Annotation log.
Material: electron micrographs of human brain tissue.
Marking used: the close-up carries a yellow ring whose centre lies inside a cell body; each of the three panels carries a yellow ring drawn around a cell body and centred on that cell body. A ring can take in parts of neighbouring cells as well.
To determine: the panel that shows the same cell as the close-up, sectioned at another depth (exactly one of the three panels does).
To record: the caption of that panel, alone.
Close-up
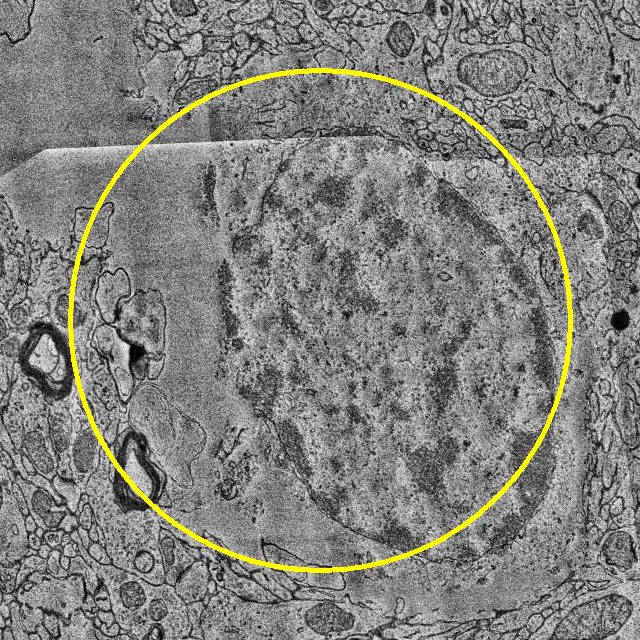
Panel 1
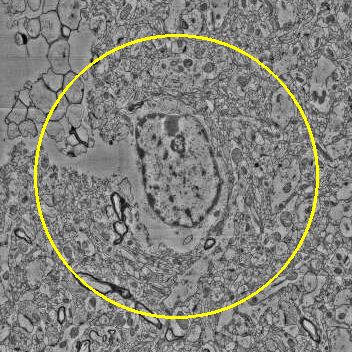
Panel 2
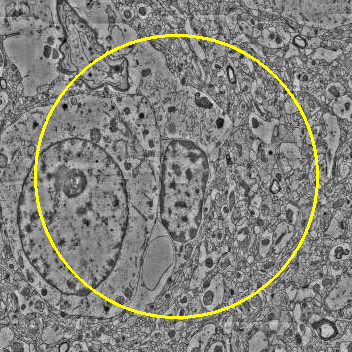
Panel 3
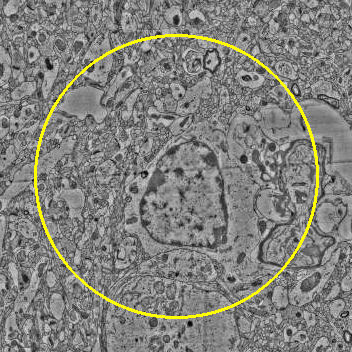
Panel 1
